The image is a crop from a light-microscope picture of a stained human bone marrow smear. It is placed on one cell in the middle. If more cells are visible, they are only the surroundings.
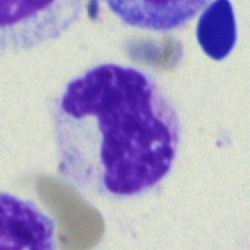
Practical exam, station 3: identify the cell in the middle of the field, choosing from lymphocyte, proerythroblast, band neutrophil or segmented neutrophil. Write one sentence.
This crop has a band neutrophil at its centre.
